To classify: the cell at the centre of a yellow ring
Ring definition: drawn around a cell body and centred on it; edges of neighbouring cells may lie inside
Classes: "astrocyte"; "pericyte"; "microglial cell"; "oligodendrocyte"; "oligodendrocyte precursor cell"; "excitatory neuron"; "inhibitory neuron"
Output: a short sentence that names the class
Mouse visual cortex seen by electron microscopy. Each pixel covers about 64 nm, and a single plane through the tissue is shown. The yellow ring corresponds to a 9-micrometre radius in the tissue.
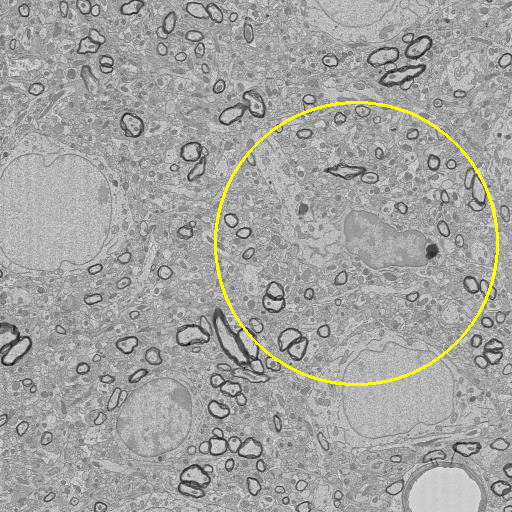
The ringed cell is a microglial cell.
